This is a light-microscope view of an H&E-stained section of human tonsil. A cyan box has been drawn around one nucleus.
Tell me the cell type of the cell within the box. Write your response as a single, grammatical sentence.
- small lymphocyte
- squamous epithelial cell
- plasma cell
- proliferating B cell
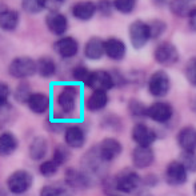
In short, the cell within the box on this section is a small lymphocyte.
